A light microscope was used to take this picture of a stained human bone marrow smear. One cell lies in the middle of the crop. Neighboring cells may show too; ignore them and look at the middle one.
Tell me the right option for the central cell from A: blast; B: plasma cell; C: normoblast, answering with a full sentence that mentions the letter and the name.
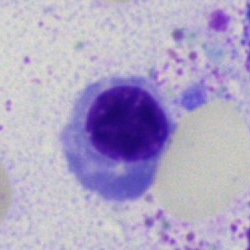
The cell in the middle is a normoblast, and so option C is correct.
